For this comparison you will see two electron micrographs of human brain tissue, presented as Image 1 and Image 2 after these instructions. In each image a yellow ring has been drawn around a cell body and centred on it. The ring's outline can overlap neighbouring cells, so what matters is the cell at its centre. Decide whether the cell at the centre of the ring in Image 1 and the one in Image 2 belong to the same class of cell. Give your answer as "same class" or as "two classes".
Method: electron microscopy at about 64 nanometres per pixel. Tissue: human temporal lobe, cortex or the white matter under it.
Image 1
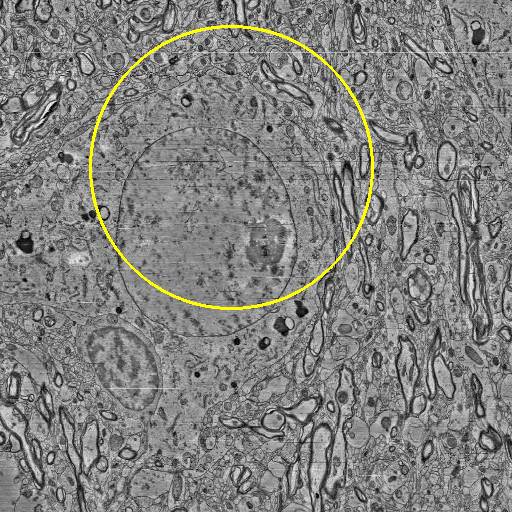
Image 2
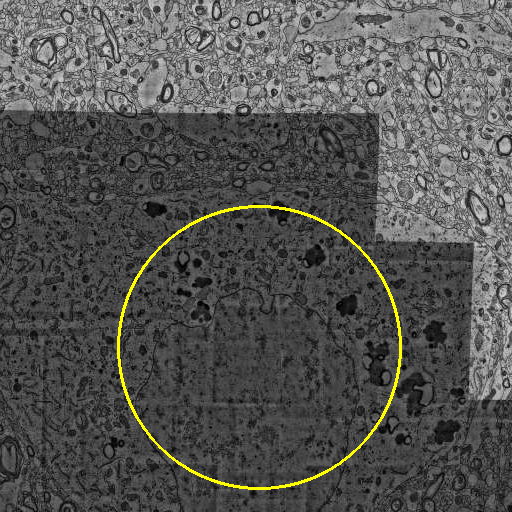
same class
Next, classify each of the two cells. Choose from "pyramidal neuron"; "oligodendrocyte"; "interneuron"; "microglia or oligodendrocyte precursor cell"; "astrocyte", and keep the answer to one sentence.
In both pictures the ring is centred on a pyramidal neuron.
